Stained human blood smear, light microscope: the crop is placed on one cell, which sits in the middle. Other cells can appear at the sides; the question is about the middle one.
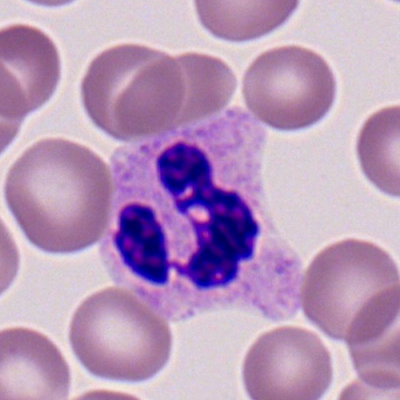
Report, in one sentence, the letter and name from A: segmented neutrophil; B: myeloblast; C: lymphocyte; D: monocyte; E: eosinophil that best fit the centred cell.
The best answer is option A, since the cell in the middle is a segmented neutrophil.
